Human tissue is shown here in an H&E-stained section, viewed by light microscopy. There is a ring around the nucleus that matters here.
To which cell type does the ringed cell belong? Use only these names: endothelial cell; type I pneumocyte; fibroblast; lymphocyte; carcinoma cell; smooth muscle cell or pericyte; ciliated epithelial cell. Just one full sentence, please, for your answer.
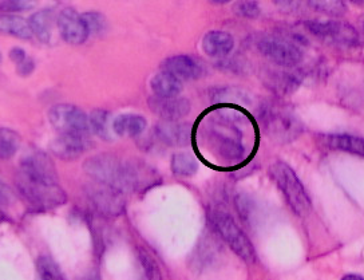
For the purposes of cell typing, the ringed cell is categorized as a ciliated epithelial cell.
